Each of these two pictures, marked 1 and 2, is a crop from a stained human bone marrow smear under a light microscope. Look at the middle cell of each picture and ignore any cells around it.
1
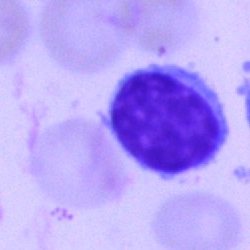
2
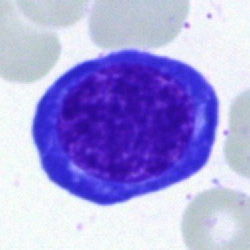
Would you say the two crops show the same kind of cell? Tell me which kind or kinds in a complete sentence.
No, at the centre of crop 1 is a lymphocyte, and at the centre of crop 2 is an erythroblast.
